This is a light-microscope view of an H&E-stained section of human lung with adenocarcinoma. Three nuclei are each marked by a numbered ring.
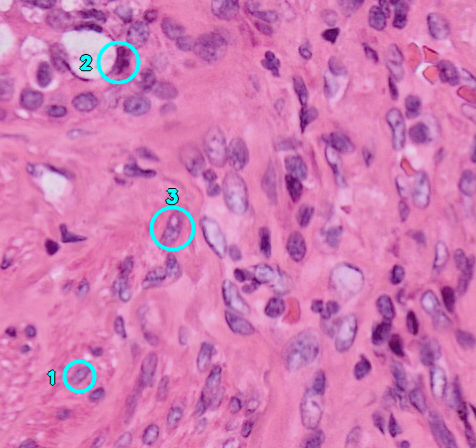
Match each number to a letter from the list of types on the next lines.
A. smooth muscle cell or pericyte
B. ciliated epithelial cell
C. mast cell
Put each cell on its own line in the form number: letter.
1: A
2: B
3: A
